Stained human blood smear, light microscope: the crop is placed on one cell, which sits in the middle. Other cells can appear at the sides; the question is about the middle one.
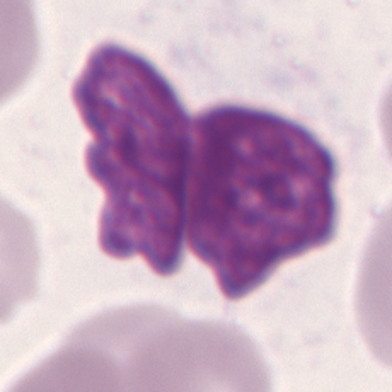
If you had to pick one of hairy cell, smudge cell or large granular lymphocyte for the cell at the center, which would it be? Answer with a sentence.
The middle cell in this particular crop is a smudge cell.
